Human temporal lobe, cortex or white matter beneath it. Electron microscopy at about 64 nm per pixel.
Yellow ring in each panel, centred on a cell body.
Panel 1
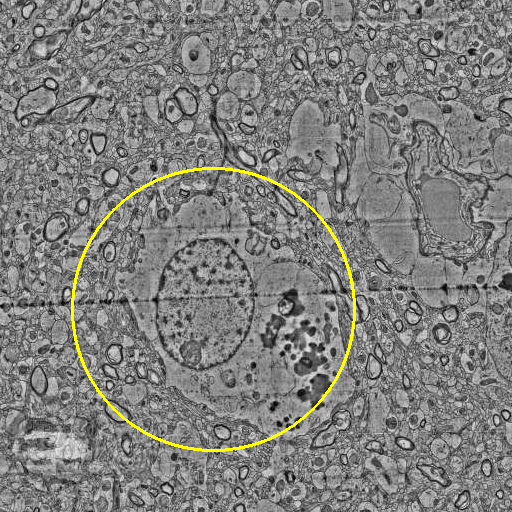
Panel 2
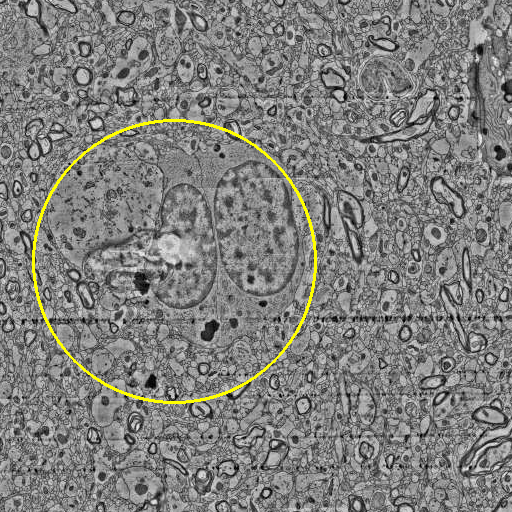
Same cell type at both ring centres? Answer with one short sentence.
No, the two cells are of two types.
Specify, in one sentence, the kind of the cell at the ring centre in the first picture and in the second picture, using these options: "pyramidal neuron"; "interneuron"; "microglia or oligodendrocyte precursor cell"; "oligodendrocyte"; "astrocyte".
So the first is an astrocyte, the second an oligodendrocyte.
